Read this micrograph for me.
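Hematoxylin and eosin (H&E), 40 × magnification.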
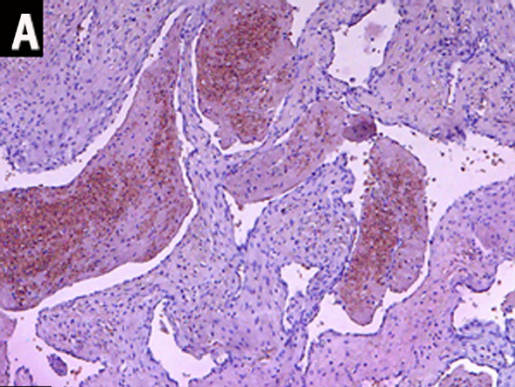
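This low-power view shows a tumor of loosely arranged spindle cells riddled with irregular vascular spaces. The pale pink tissue holds scattered elongated blue-purple nuclei at fairly low density. The spaces between the tissue are branching and irregular in shape. Several are filled with dense red-brown blood, while others look empty.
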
